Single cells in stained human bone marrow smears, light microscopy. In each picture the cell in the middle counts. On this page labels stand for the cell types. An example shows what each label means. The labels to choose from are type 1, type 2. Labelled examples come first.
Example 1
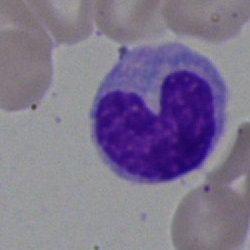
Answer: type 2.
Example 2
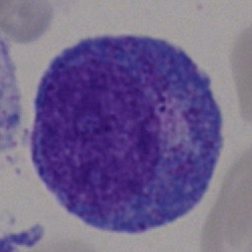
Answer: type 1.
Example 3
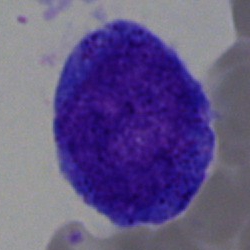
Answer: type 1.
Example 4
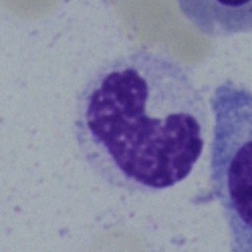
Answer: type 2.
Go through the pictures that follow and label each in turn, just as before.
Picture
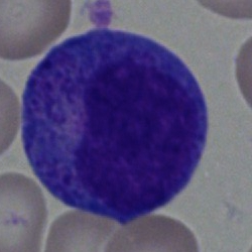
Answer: type 1.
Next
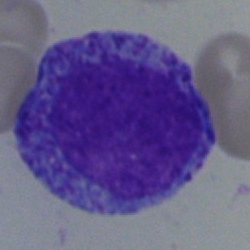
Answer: type 1.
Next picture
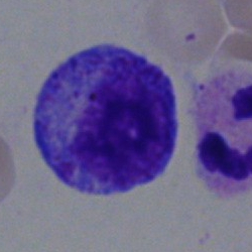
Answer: type 1.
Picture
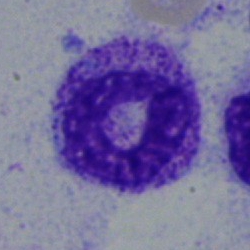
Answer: type 2.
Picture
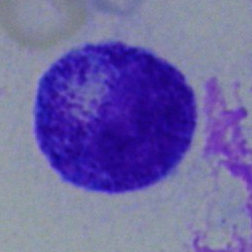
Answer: type 1.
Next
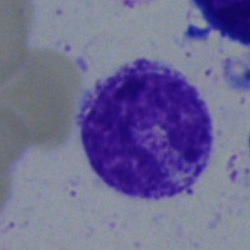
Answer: type 2.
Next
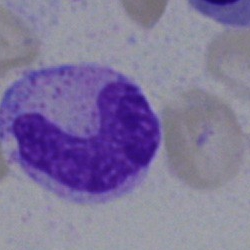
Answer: type 2.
